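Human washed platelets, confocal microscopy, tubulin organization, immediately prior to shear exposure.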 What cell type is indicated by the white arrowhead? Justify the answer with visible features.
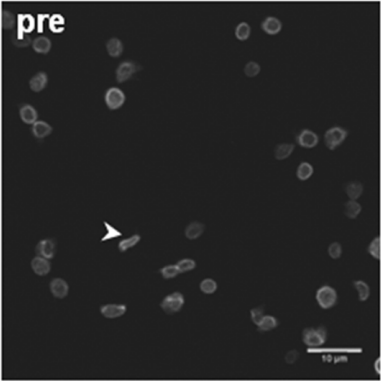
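Proplatelets. The marked cell is elongated rather than round. Most other cells are small round rings.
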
